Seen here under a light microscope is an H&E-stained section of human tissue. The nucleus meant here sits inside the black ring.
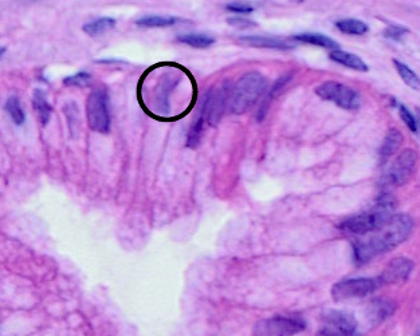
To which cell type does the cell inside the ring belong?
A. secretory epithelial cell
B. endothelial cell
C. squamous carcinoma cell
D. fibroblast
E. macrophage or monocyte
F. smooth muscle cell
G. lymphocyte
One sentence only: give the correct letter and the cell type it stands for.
According to option A, the cell inside the ring is a secretory epithelial cell, and this is correct.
